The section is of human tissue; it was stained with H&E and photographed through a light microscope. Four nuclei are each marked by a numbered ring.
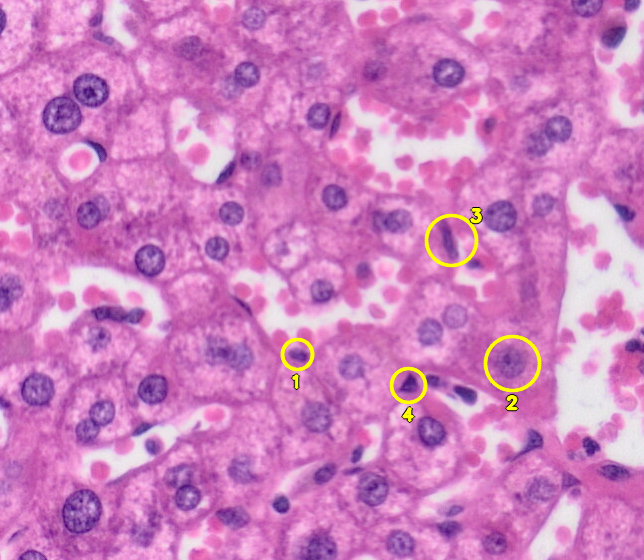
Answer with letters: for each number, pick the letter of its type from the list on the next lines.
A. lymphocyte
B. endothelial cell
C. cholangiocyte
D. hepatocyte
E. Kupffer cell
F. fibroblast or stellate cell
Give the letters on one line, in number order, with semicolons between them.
F; D; E; F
